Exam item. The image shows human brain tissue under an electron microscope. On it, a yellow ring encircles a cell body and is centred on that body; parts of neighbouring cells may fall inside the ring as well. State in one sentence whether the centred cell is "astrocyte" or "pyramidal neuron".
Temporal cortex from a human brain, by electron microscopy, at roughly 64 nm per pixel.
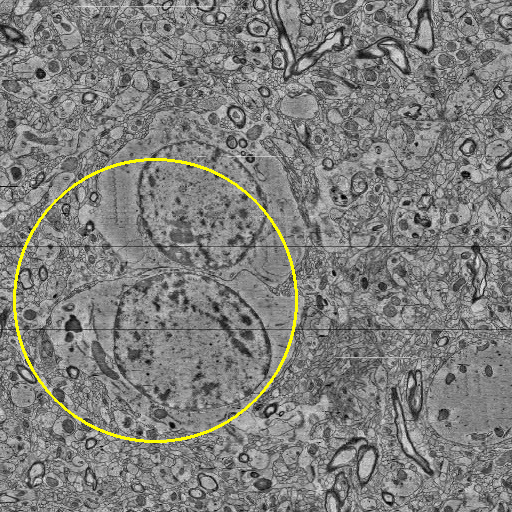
The cell body centred in the ring is an astrocyte.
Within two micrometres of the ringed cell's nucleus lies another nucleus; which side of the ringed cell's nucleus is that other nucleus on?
The other one lies above it.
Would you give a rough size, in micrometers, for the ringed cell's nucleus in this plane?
In this plane, about 11 micrometres in length and 9 in width.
